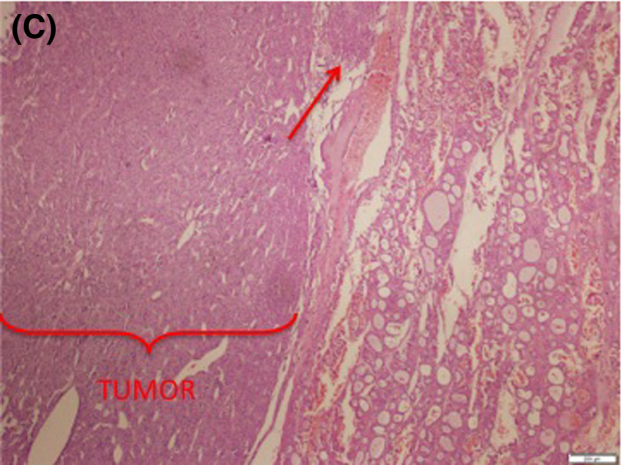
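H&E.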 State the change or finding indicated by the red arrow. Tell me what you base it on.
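Thyroid capsule invasion. A solid, densely cellular mass lies on the left. A band of pink fibrous tissue separates the mass from the colloid-filled follicles on the right. The arrow points to tumour tissue at the edge of this fibrous band.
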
